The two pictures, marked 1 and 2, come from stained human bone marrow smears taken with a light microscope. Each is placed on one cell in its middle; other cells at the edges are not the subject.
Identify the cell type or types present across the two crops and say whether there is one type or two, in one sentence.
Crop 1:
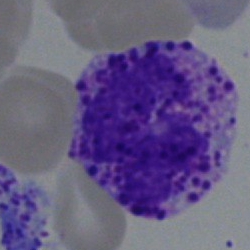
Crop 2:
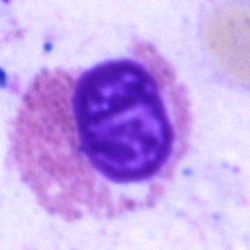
Yes, for both crops, the central cells are basophils.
